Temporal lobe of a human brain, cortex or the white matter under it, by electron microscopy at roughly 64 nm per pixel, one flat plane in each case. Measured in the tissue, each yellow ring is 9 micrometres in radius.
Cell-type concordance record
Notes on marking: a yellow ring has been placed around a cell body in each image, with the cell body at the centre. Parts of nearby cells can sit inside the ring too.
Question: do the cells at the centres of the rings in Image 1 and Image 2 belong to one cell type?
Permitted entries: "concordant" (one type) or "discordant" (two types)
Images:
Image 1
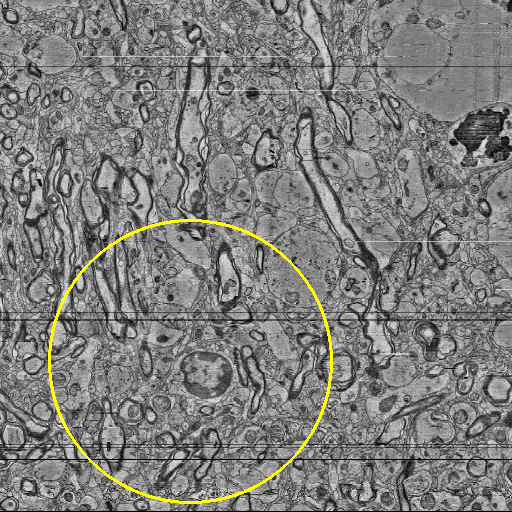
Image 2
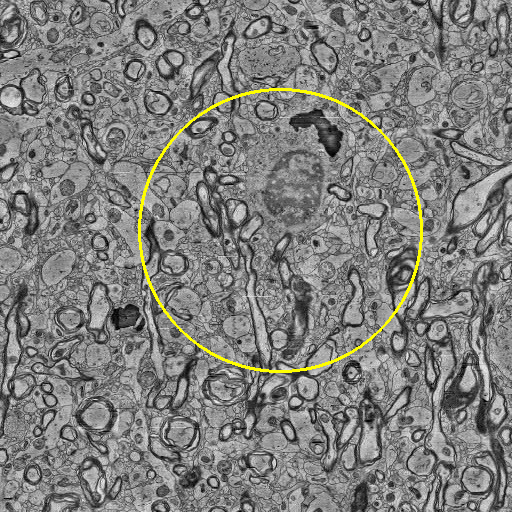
discordant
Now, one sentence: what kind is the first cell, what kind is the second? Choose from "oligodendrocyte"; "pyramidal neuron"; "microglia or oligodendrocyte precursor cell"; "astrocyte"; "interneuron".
The first picture has a microglial cell or oligodendrocyte precursor cell at its ring centre, and the second has an oligodendrocyte.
